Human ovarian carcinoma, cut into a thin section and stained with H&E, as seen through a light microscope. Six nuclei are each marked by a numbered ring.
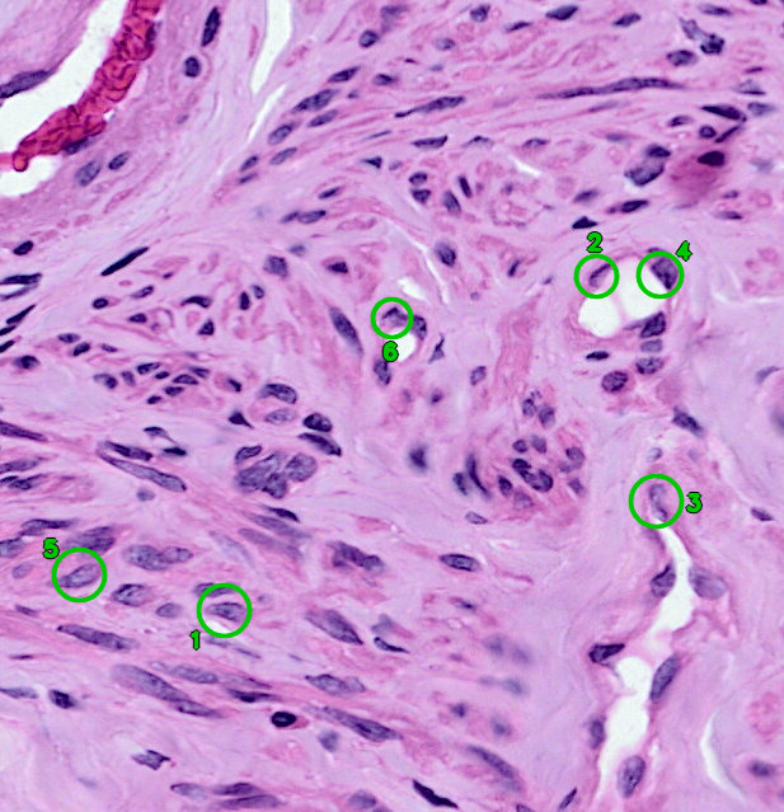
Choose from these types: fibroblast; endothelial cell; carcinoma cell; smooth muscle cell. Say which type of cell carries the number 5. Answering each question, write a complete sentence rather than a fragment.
The cell referenced by the number 5 is a smooth muscle cell in this field.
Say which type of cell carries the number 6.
The cell numbered 6 has been identified as an endothelial cell.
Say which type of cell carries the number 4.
The cell whose nucleus carries the number 4 is an endothelial cell.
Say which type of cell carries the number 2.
Corresponding to an endothelial cell is the cell labelled 2.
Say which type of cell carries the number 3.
The cell with the number 3 is an endothelial cell.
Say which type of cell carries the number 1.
The cell pointed out by number 1 is a smooth muscle cell.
